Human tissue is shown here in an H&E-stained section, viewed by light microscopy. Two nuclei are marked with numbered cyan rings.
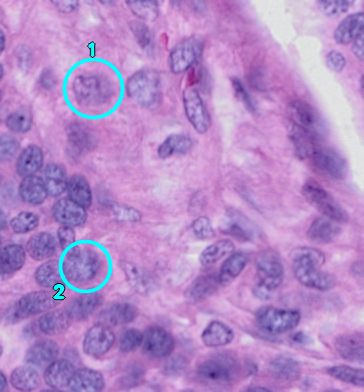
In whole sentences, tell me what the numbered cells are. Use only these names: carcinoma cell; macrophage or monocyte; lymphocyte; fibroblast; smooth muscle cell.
Cell 1 is a fibroblast and cell 2 is a carcinoma cell.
